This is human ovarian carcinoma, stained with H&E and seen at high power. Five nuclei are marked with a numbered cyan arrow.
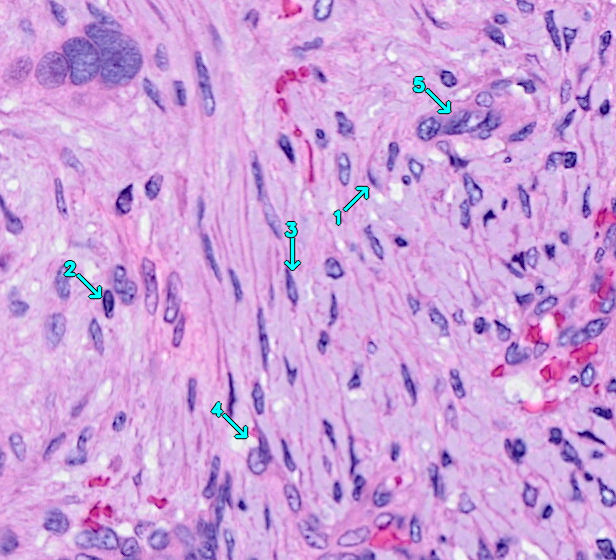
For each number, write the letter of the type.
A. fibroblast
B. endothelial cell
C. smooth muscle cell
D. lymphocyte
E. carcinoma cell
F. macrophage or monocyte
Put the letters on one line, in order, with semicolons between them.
A; D; A; A; B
